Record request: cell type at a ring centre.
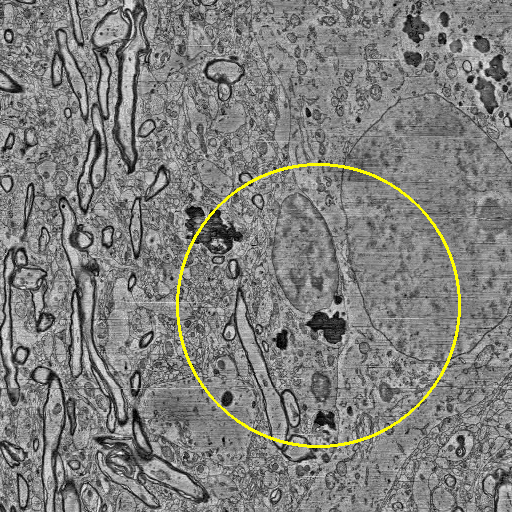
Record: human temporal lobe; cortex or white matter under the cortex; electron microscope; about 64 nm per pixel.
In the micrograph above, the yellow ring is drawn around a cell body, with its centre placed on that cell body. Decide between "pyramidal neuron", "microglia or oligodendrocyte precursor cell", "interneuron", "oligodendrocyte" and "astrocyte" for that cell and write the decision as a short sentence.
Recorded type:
The cell centred in the yellow ring is an oligodendrocyte.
